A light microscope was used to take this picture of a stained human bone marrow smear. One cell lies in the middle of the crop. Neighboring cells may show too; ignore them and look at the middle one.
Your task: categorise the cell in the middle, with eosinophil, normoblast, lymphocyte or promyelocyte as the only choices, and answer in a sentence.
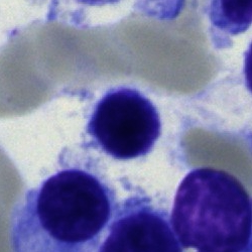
Where the crop is centred, there is a lymphocyte.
